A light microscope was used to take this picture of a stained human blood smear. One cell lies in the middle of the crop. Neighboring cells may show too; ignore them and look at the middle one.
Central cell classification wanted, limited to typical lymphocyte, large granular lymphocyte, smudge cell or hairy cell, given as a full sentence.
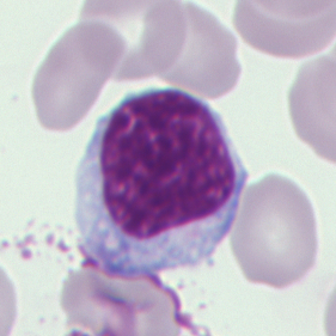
Of the cells in this crop, the central one is a typical lymphocyte.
